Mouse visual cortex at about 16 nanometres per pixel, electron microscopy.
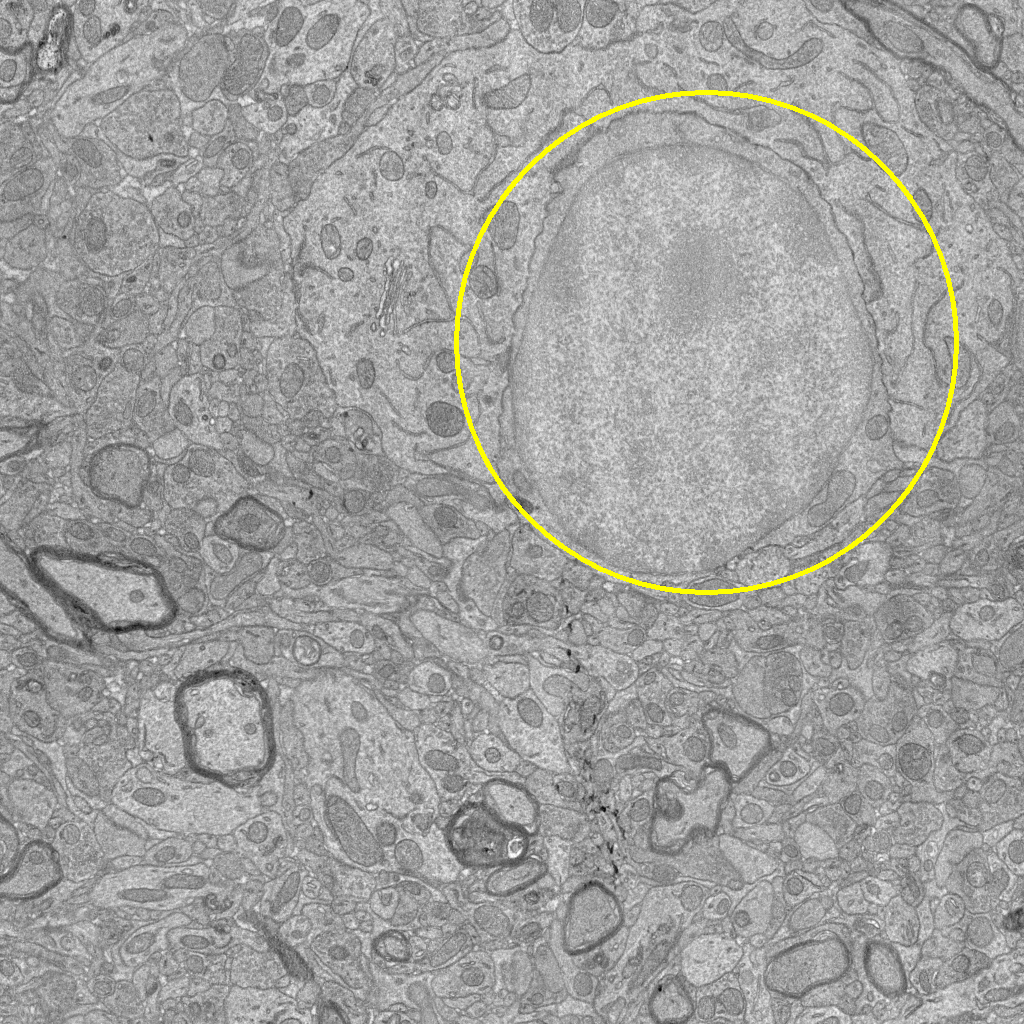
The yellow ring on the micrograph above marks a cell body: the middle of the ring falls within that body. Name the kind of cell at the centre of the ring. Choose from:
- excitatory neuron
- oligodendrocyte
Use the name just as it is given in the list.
oligodendrocyte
